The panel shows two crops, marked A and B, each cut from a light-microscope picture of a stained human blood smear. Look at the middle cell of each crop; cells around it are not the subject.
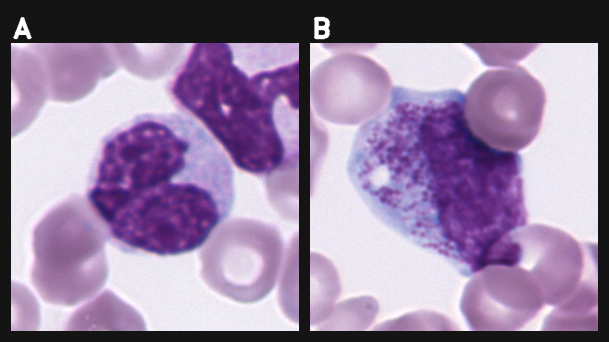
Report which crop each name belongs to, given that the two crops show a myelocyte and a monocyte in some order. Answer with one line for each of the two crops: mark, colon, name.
A: monocyte
B: myelocyte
